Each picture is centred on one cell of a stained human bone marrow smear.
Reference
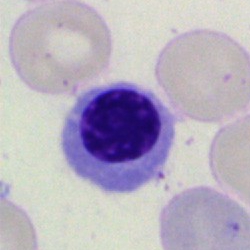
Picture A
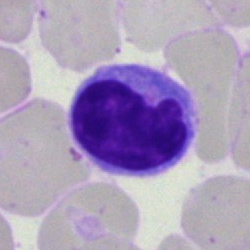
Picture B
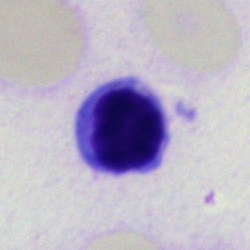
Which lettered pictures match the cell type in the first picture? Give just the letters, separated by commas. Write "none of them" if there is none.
none of them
